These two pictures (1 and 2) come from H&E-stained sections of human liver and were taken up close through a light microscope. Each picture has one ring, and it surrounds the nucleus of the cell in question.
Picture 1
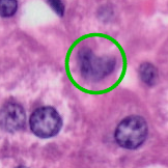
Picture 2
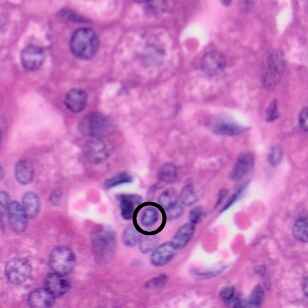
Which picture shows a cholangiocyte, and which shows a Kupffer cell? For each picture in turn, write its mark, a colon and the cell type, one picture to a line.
1: Kupffer cell
2: cholangiocyte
